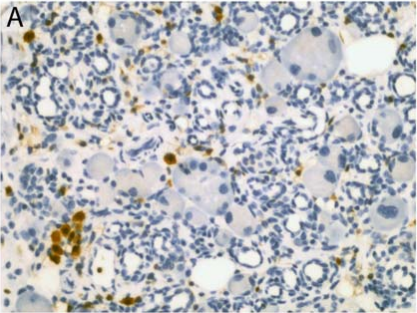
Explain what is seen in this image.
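Injured pancreas in which few large pale acini remain among many small tubular duct-like structures. The tubules are lined by cuboidal cells with dark blue nuclei and lie in a densely cellular interstitium. Brown-stained cells are scattered through the interstitium, some gathered in small clusters. The normal acinar architecture is largely lost.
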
